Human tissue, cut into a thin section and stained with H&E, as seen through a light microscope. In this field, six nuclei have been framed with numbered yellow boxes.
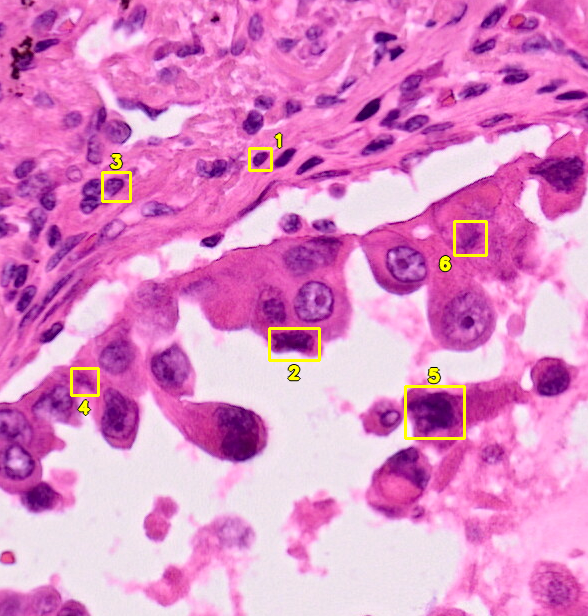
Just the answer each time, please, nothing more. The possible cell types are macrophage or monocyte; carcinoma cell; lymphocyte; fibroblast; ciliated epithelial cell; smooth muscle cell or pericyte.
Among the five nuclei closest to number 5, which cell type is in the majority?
macrophage or monocyte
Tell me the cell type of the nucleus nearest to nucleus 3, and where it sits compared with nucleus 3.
a lymphocyte; to the left of nucleus 3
